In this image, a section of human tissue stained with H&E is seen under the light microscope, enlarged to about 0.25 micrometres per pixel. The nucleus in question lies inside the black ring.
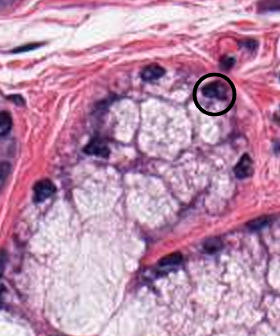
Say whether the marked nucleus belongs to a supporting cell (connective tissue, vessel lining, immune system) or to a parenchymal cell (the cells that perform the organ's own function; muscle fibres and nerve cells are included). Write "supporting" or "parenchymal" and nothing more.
parenchymal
